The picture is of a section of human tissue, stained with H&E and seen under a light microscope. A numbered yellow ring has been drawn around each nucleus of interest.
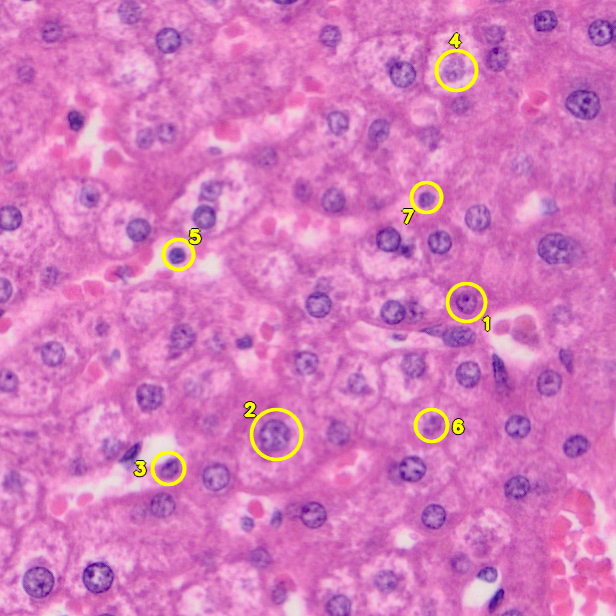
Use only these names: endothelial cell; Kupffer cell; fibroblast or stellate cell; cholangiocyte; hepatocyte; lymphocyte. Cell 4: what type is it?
hepatocyte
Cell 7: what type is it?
lymphocyte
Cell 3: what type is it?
Kupffer cell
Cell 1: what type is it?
hepatocyte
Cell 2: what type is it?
hepatocyte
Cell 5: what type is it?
lymphocyte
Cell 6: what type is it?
hepatocyte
